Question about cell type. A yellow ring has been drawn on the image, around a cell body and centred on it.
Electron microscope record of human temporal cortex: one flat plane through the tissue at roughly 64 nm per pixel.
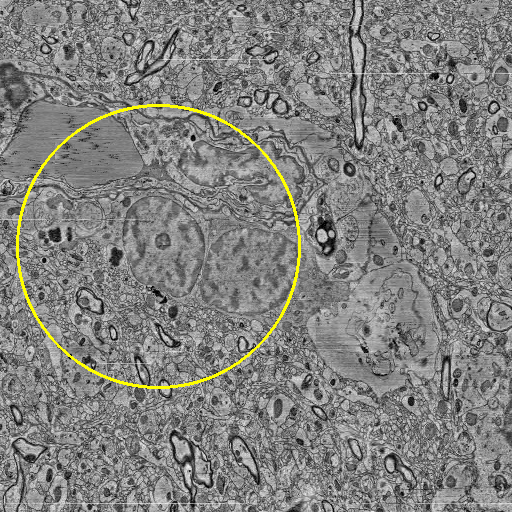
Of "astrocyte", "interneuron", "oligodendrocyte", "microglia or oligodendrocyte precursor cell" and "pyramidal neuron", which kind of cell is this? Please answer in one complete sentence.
At the centre of the ring lies an oligodendrocyte.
